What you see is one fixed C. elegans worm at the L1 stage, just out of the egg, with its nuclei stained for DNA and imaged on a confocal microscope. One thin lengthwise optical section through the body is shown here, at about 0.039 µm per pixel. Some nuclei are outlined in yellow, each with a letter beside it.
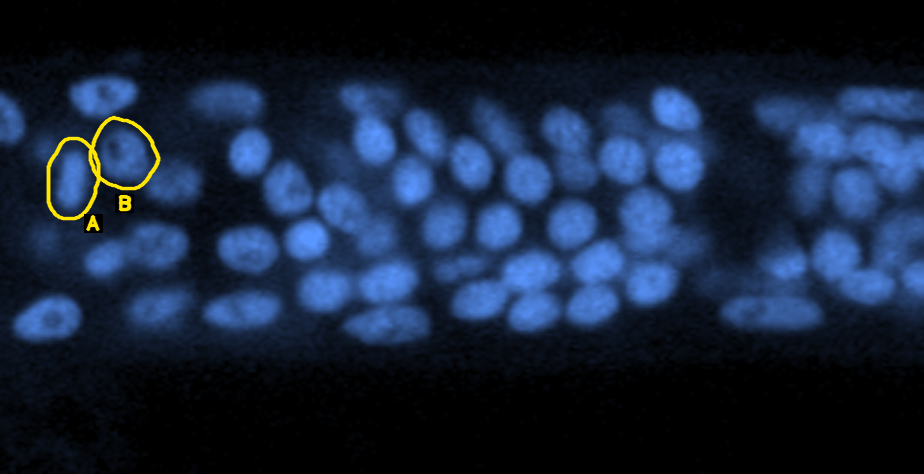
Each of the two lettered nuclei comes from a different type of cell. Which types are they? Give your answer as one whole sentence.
B belongs to a pharyngeal gland cell, and A to a valve cell of the gut.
